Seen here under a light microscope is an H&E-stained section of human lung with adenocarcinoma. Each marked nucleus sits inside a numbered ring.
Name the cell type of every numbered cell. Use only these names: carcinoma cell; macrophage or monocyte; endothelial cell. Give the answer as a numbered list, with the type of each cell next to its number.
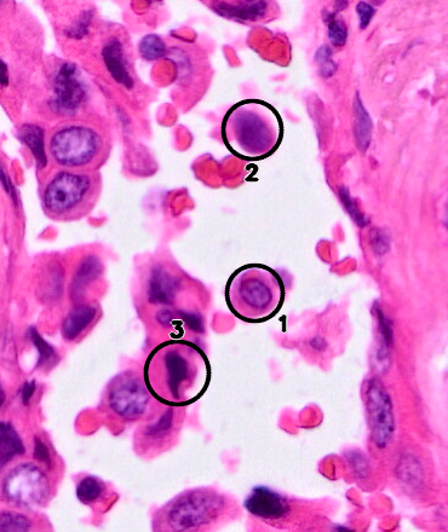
1. macrophage or monocyte
2. carcinoma cell
3. carcinoma cell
